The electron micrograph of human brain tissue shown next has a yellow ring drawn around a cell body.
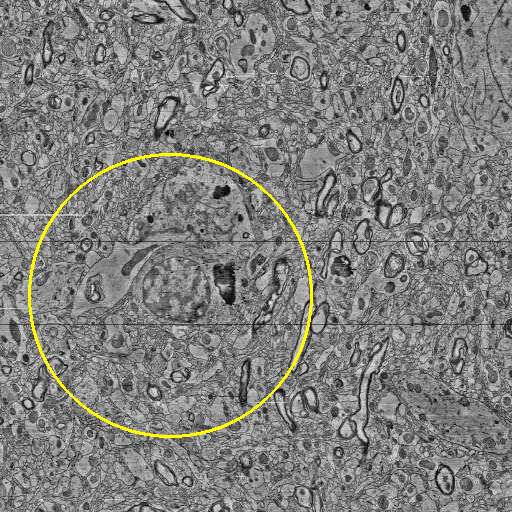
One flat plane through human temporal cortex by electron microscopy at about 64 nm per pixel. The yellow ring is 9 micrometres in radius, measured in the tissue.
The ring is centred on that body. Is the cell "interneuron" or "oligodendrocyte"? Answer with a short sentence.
The cell in question is an oligodendrocyte.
